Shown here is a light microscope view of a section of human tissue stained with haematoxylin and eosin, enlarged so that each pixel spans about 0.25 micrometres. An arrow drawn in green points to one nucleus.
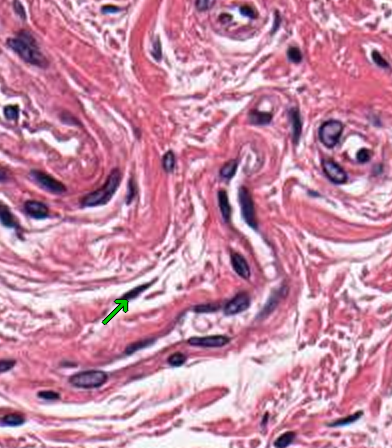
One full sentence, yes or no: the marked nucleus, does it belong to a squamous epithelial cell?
No, rather than to a squamous epithelial cell, the marked nucleus belongs to a supporting cell.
